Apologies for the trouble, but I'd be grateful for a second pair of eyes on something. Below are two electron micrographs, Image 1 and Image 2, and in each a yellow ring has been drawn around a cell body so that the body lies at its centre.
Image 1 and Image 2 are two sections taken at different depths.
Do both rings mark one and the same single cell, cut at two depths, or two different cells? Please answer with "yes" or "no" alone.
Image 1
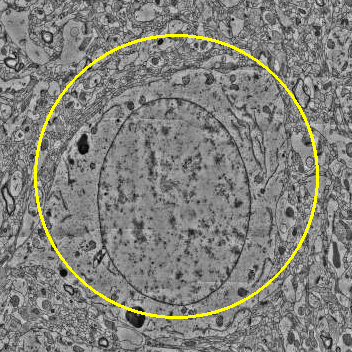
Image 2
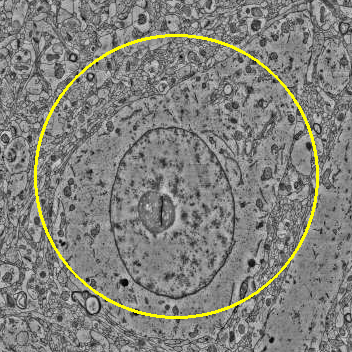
yes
